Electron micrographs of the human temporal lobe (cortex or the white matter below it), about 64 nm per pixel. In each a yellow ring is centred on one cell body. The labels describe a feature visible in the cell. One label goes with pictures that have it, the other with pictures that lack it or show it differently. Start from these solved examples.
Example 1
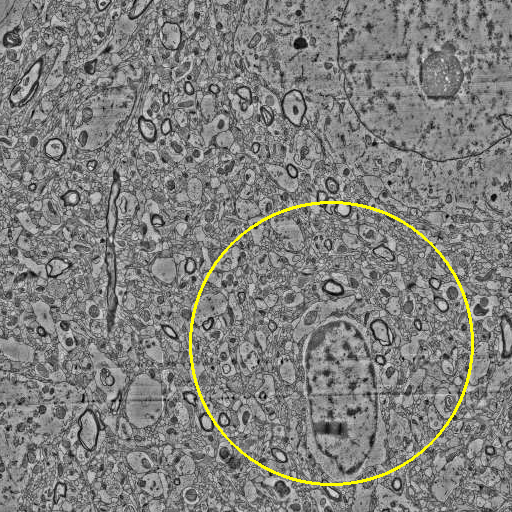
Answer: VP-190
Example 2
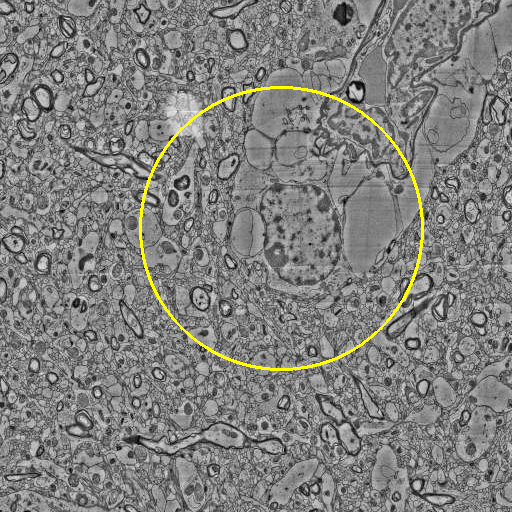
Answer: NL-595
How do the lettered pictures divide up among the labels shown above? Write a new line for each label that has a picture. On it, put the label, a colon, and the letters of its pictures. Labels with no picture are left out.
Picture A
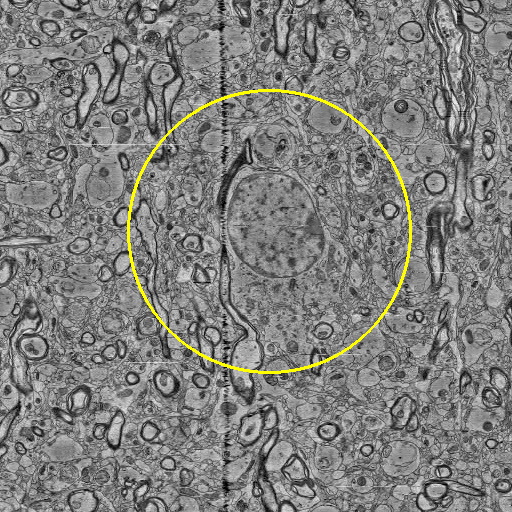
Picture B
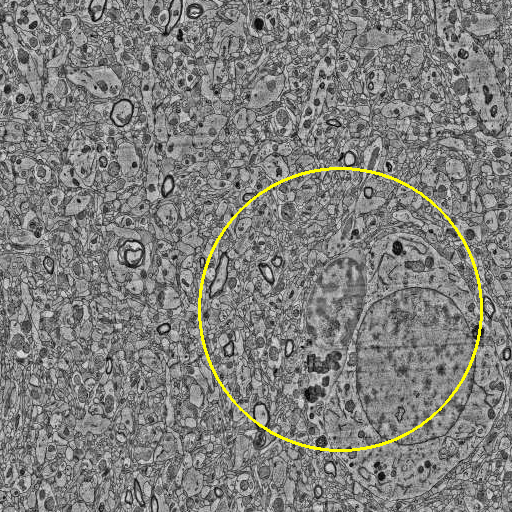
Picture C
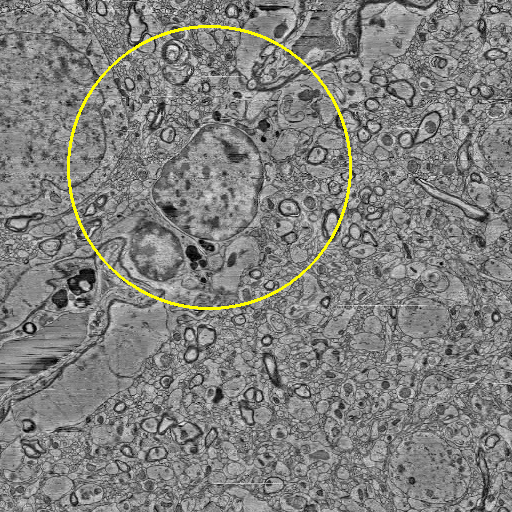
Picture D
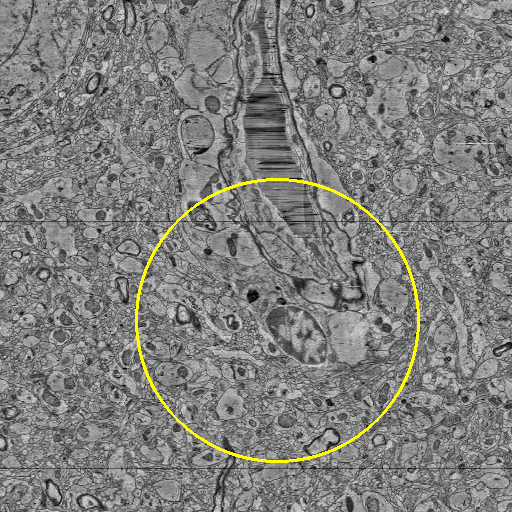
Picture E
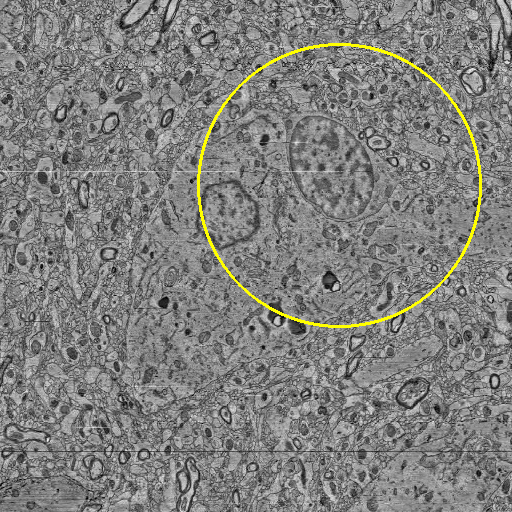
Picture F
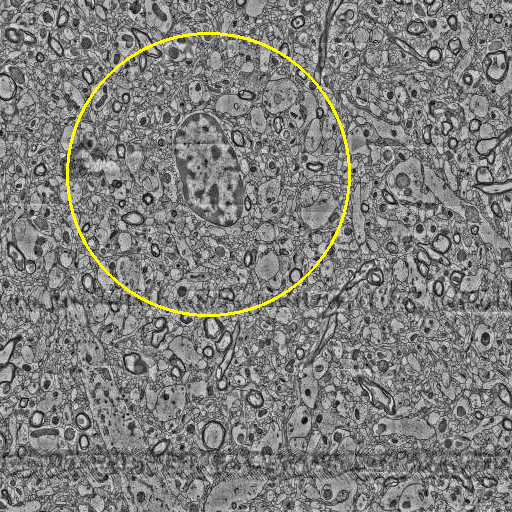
VP-190: D, E, F
NL-595: A, B, C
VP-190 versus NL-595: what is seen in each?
Seen in VP-190: clearly elongated nuclei; seen in NL-595: round or nearly round nuclei.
